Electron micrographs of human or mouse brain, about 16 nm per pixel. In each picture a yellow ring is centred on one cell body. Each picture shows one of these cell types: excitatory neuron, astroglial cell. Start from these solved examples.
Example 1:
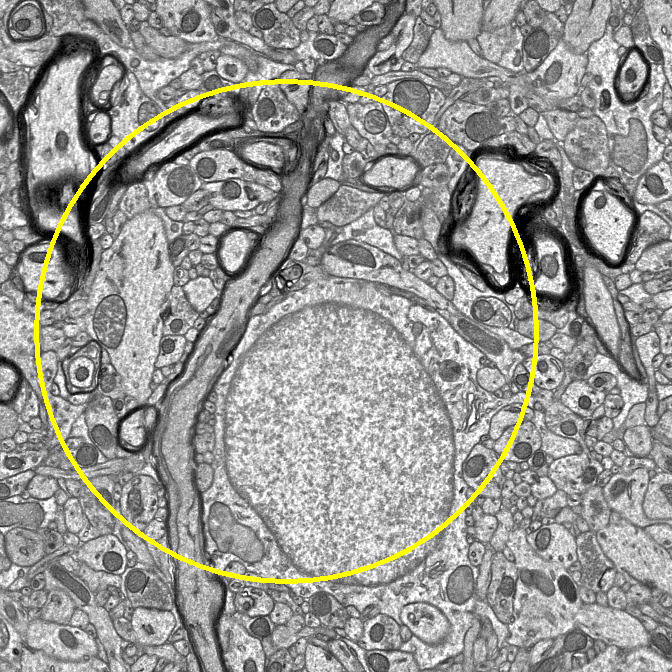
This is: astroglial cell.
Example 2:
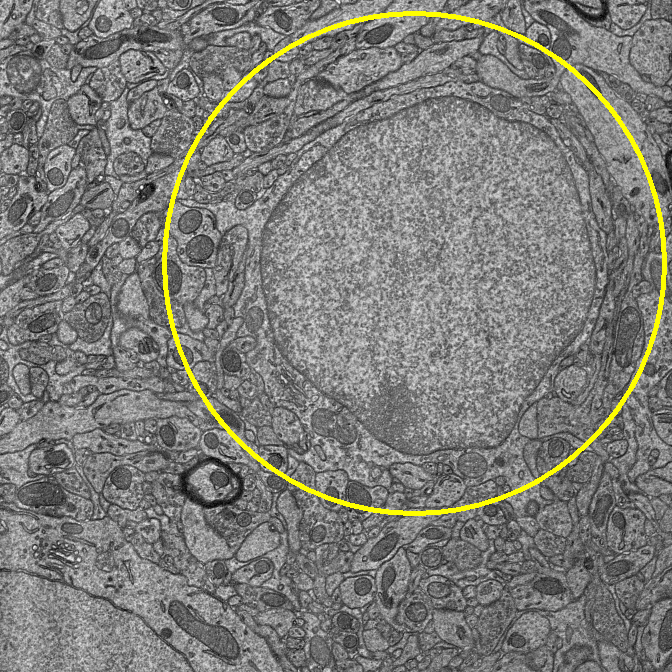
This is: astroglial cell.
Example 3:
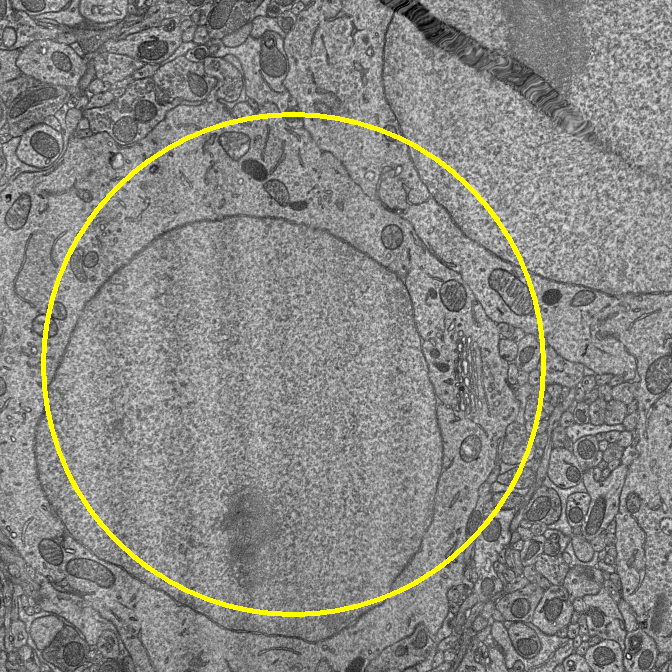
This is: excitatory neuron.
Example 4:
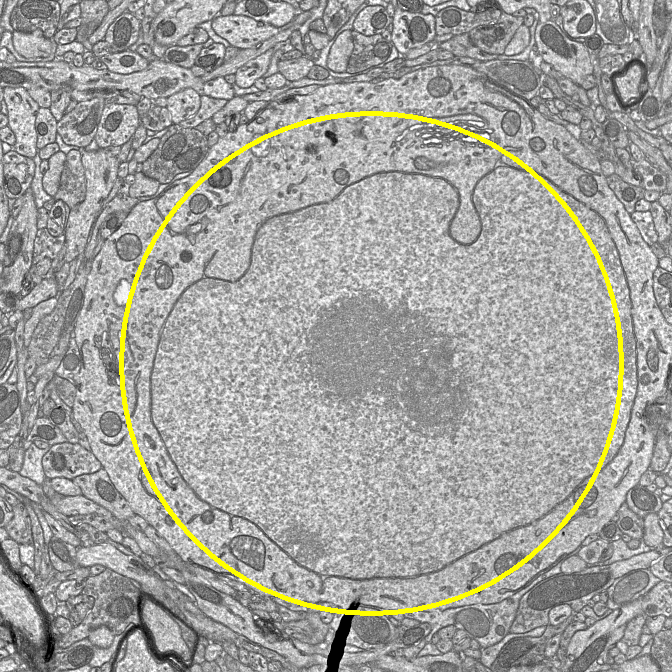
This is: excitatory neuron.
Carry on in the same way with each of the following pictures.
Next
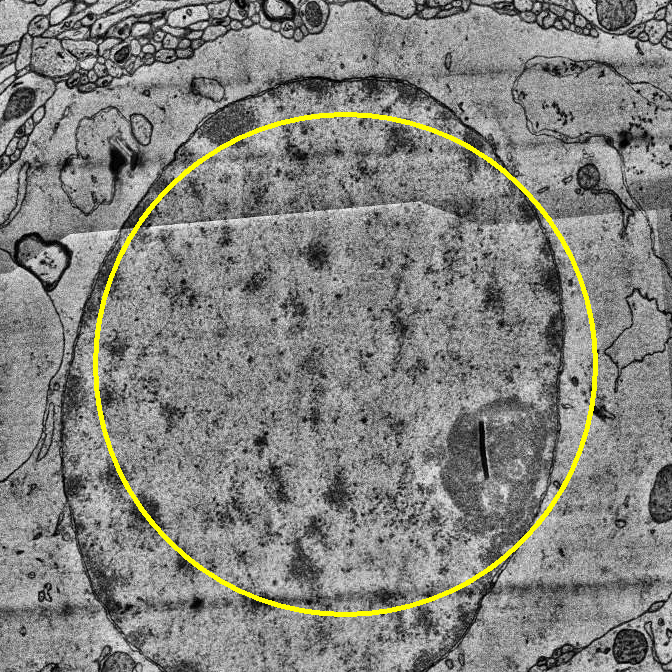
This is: astroglial cell.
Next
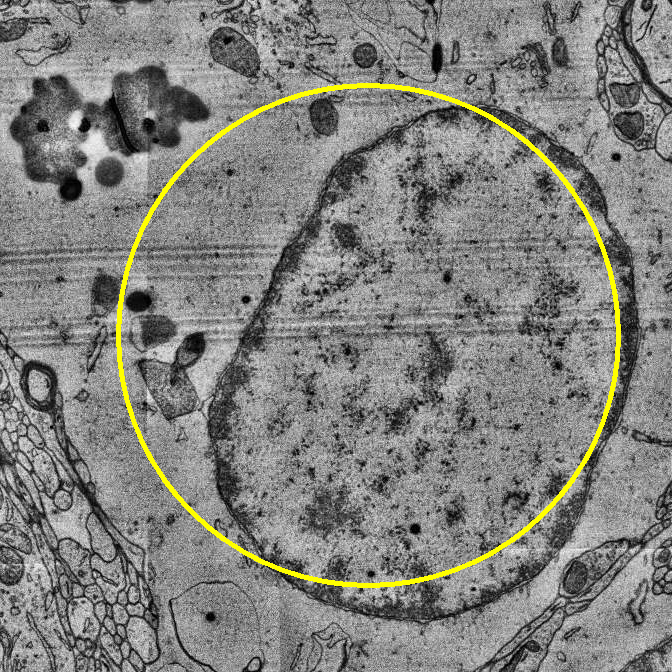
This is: astroglial cell.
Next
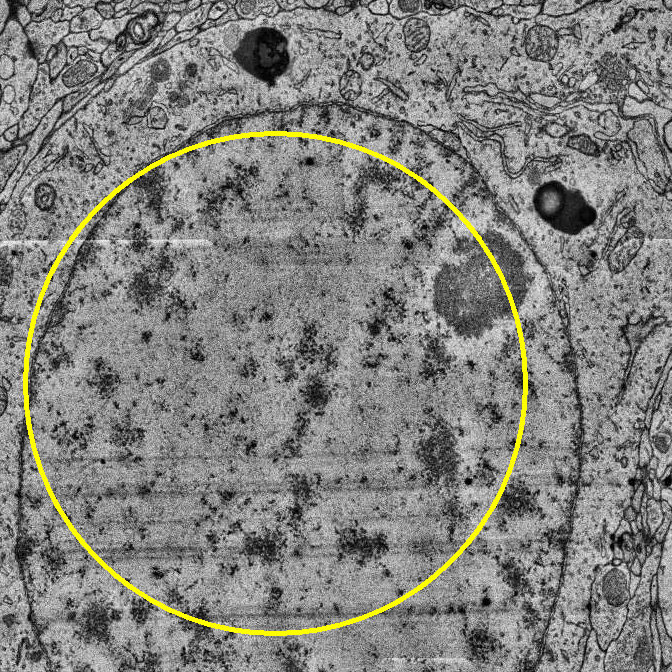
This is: excitatory neuron.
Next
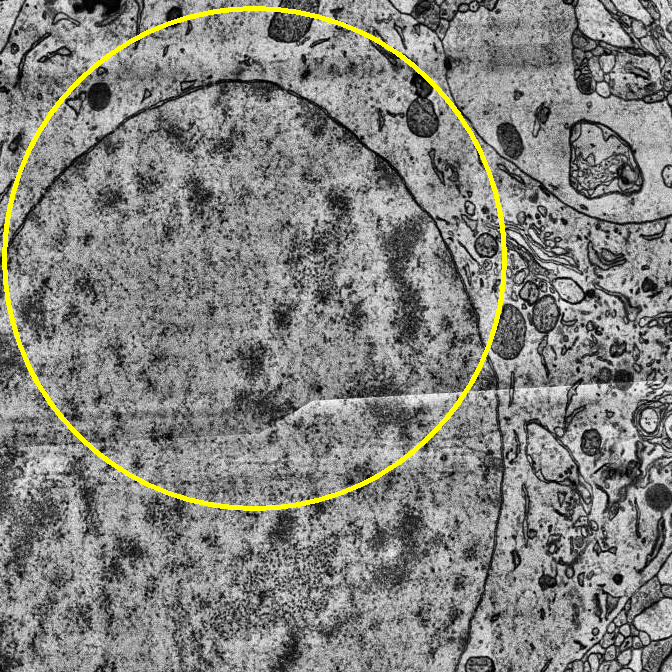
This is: excitatory neuron.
